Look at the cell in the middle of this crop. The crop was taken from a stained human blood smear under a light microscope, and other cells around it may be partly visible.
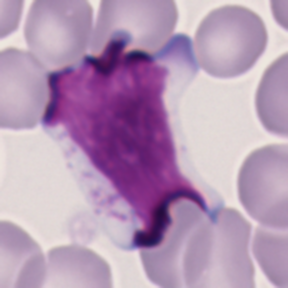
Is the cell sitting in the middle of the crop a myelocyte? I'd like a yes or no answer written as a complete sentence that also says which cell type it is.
No, the centre of the crop contains a large granular lymphocyte rather than a myelocyte.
